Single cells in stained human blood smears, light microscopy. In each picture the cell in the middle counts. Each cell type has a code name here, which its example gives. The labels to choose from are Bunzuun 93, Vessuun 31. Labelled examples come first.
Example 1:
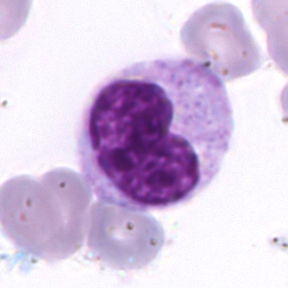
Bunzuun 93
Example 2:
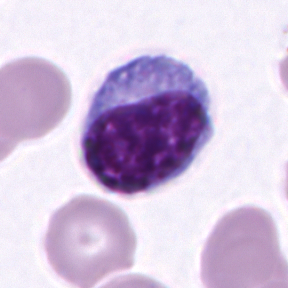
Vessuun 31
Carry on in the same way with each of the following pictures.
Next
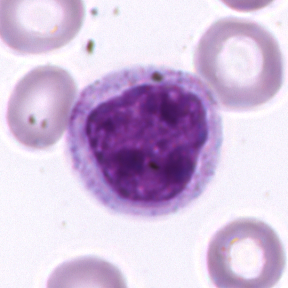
Bunzuun 93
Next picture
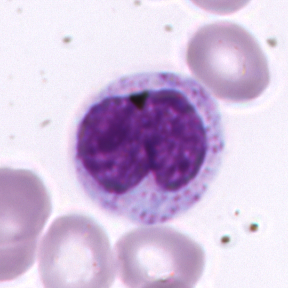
Bunzuun 93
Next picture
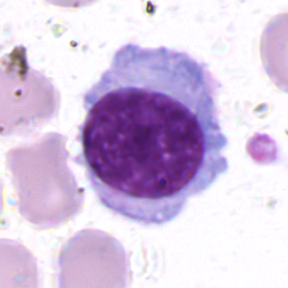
Vessuun 31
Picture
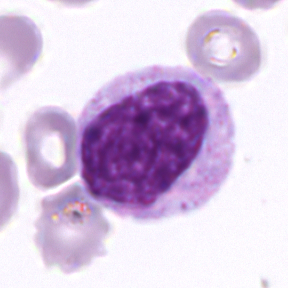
Bunzuun 93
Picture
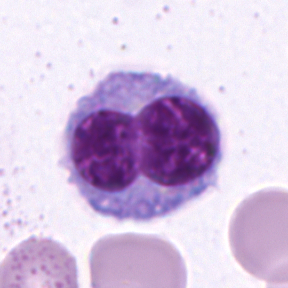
Vessuun 31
